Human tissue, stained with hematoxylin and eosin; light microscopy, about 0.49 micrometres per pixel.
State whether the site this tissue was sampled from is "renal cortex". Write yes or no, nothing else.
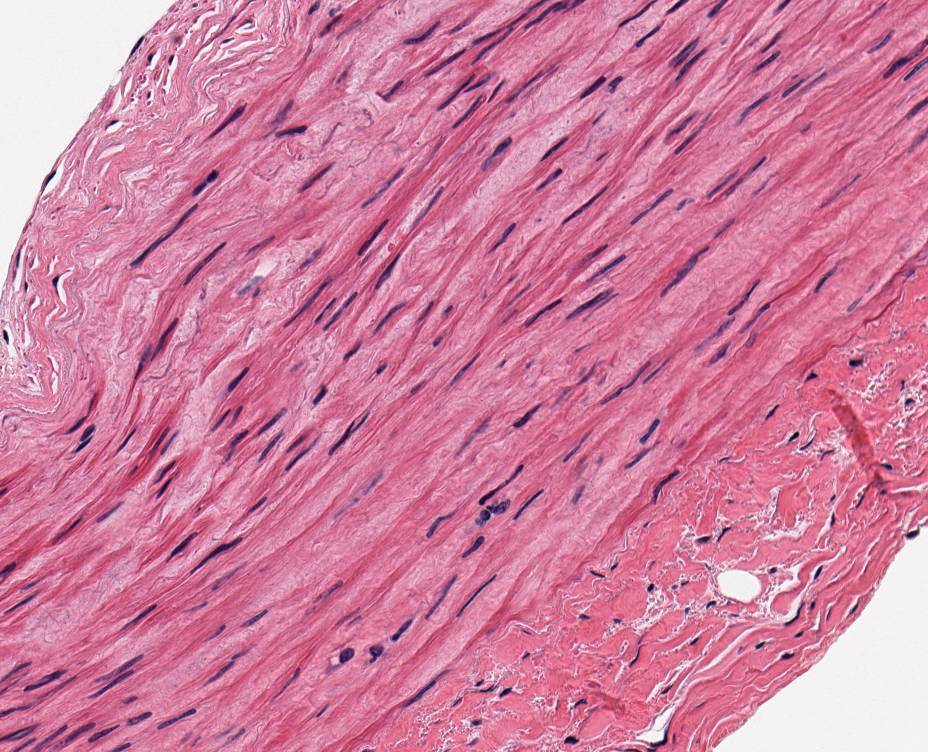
no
